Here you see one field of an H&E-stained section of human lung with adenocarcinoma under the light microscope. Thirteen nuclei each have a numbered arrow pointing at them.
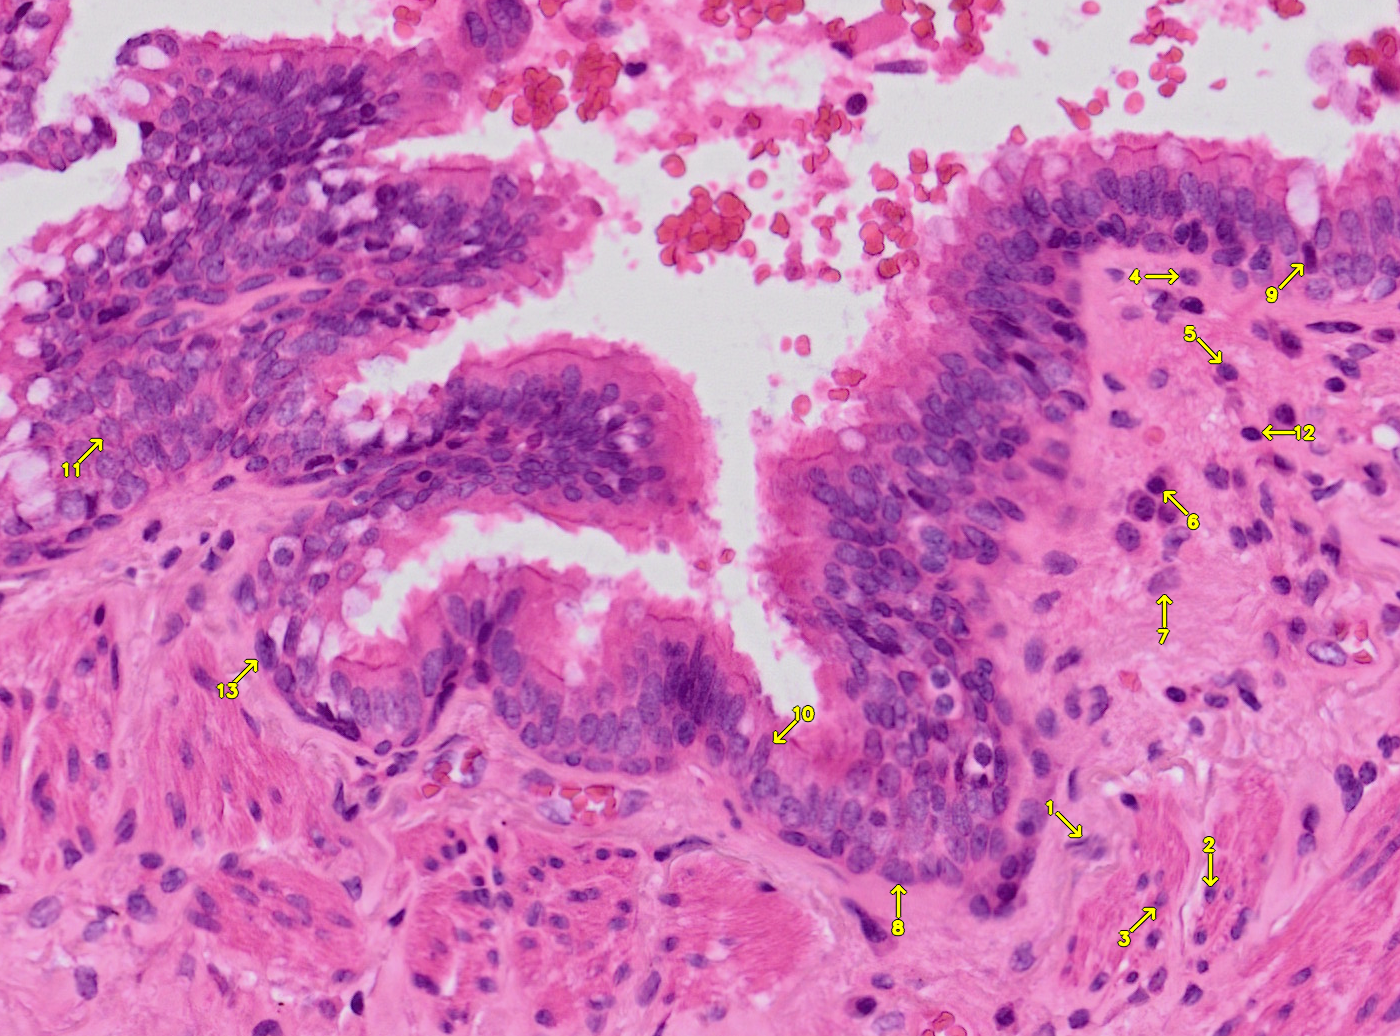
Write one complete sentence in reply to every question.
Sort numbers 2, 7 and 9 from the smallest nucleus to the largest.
Smallest first, the nuclei run 2, 9, 7.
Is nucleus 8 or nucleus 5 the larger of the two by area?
Nucleus 8 is larger, with an area about 2 times that of nucleus 5.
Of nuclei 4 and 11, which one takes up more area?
Of the two, number 11 is bigger and takes up about 1.5 times the area of number 4.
